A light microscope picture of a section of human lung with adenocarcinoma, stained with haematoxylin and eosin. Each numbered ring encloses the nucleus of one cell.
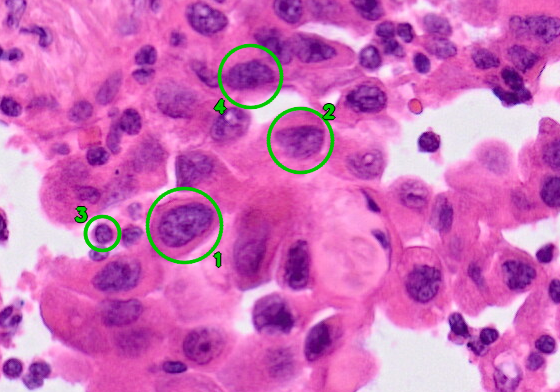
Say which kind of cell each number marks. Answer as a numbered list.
1. carcinoma cell
2. carcinoma cell
3. lymphocyte
4. carcinoma cell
